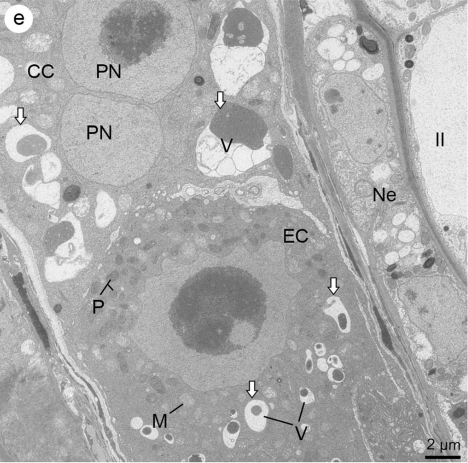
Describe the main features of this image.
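This shows the central cell and the egg cell of a mature embryo sac, with nucellar tissue and integument at the side. The two polar nuclei of the central cell are large, round and pale, pressed against each other and lying close to the egg cell. The egg cell has a big round nucleus with a dark, dense nucleolus. Both cells contain vacuoles holding dark, electron-dense material, taken as macroautophagous structures. The neighbouring nucellar epidermis cells are small and vacuolated.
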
